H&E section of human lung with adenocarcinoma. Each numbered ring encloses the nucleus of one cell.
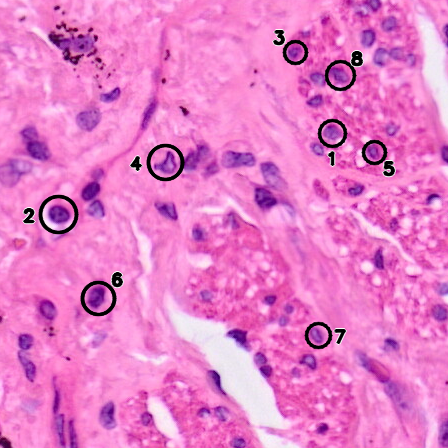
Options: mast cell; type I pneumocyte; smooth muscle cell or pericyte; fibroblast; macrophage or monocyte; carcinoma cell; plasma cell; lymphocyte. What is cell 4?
fibroblast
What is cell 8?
smooth muscle cell or pericyte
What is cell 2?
lymphocyte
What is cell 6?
plasma cell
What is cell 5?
smooth muscle cell or pericyte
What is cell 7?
smooth muscle cell or pericyte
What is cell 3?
smooth muscle cell or pericyte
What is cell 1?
smooth muscle cell or pericyte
